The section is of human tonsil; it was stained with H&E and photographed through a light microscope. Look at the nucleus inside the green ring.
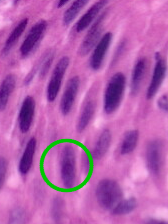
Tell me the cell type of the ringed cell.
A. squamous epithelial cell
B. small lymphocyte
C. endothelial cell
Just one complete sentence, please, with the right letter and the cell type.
The right option is A, the ringed cell being a squamous epithelial cell.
